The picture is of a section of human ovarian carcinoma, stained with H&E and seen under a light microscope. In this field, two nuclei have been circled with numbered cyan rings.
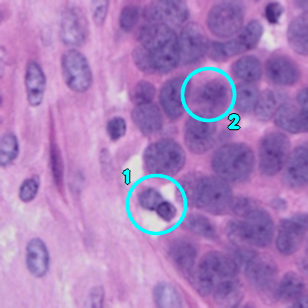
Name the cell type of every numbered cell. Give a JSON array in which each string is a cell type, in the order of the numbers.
["macrophage or monocyte", "carcinoma cell"]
